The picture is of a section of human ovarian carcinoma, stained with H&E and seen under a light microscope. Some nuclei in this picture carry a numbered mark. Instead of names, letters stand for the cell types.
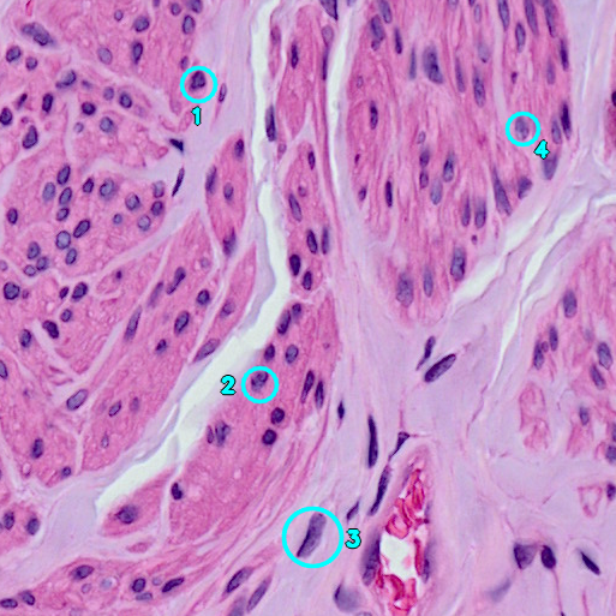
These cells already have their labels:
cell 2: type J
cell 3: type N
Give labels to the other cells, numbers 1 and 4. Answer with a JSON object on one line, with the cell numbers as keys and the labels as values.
{"1": "type J", "4": "type J"}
